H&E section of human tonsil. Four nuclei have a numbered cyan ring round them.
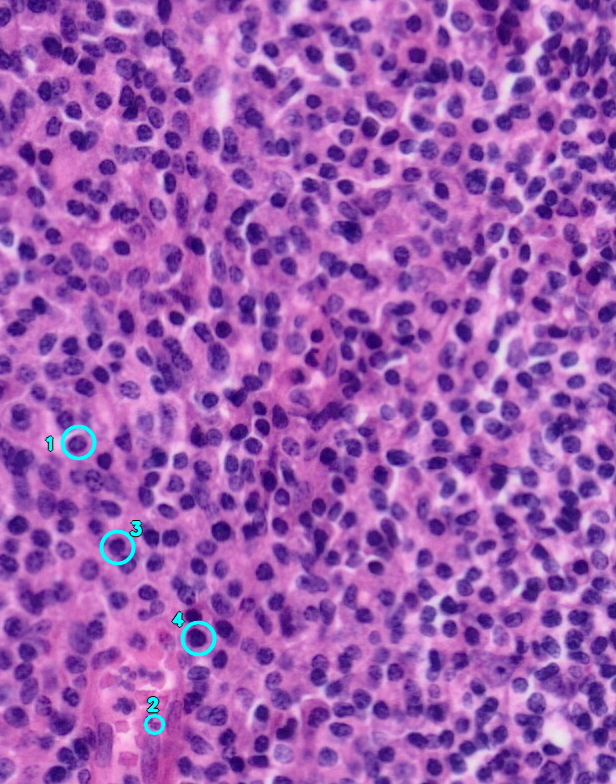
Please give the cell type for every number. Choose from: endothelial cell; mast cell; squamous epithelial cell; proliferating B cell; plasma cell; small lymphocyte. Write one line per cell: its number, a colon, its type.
1: plasma cell
2: endothelial cell
3: plasma cell
4: plasma cell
